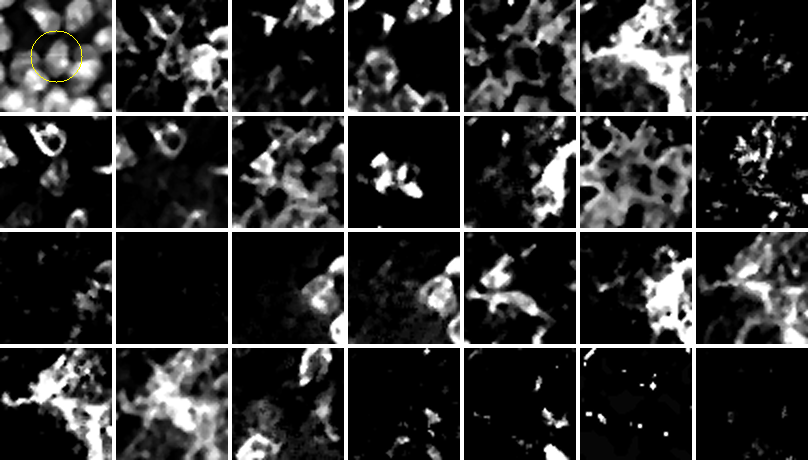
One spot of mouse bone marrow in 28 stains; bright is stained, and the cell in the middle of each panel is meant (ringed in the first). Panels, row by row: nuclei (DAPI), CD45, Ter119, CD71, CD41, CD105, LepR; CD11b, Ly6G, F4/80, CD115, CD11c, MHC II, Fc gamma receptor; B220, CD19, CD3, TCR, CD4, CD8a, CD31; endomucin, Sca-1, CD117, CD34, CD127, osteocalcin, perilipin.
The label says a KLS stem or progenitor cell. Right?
Wrong: this is a monocyte.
